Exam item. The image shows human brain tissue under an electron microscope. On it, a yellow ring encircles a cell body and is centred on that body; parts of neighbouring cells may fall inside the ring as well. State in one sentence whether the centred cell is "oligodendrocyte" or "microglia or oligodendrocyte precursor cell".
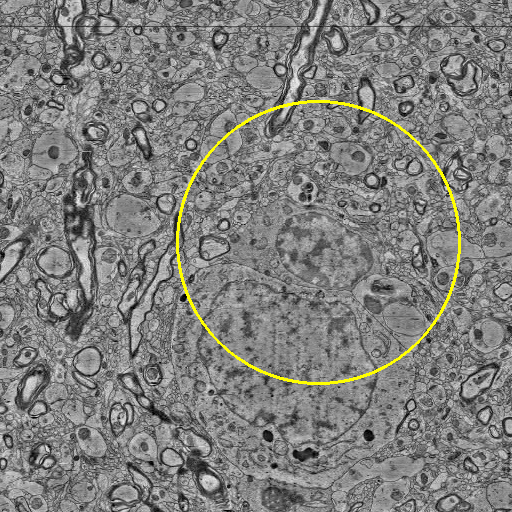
The cell body centred in the ring is an oligodendrocyte.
